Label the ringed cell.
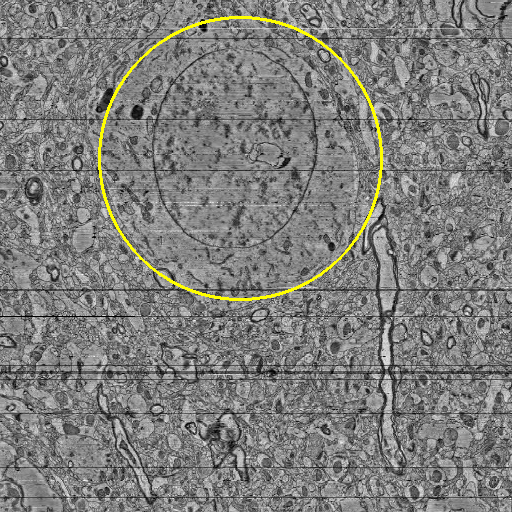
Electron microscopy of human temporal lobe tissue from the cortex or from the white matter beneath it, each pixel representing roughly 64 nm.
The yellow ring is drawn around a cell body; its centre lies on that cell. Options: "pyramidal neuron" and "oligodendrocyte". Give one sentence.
The ringed cell is a pyramidal neuron.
